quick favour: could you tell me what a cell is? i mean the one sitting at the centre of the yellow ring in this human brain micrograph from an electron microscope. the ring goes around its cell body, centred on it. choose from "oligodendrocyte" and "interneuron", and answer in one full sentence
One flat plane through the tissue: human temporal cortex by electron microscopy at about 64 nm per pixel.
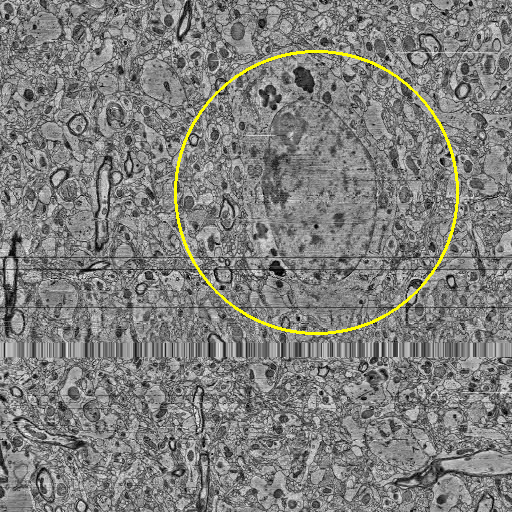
That's an interneuron, the cell sitting at the centre of the yellow ring.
